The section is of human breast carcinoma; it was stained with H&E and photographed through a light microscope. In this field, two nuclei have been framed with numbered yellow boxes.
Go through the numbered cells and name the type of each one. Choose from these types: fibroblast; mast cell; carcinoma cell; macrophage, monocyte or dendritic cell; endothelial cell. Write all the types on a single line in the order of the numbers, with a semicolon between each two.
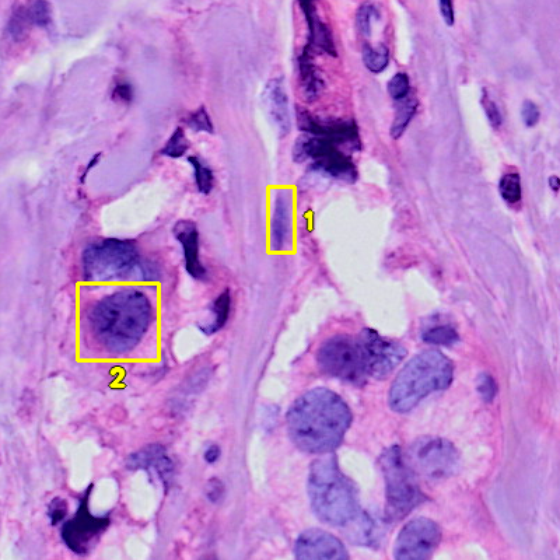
fibroblast; carcinoma cell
